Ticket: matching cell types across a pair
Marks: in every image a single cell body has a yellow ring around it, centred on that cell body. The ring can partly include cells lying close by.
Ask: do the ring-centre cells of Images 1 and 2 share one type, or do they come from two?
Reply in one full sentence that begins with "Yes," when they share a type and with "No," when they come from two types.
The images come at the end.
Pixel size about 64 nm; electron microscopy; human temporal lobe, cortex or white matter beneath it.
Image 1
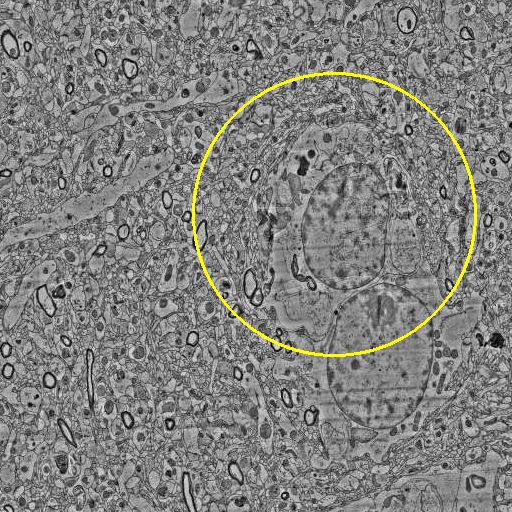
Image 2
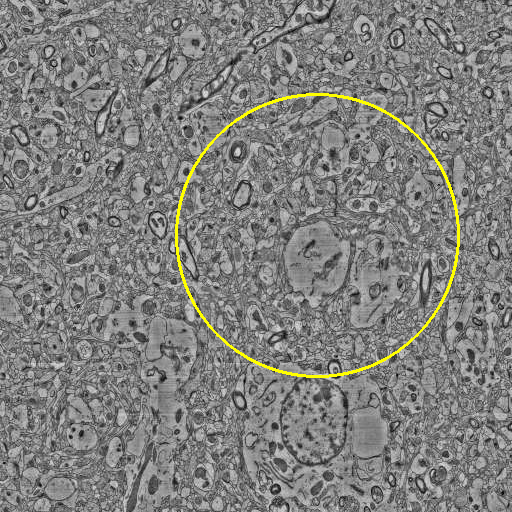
Yes, the cells in the centres of the rings in Image 1 and Image 2 share one type.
